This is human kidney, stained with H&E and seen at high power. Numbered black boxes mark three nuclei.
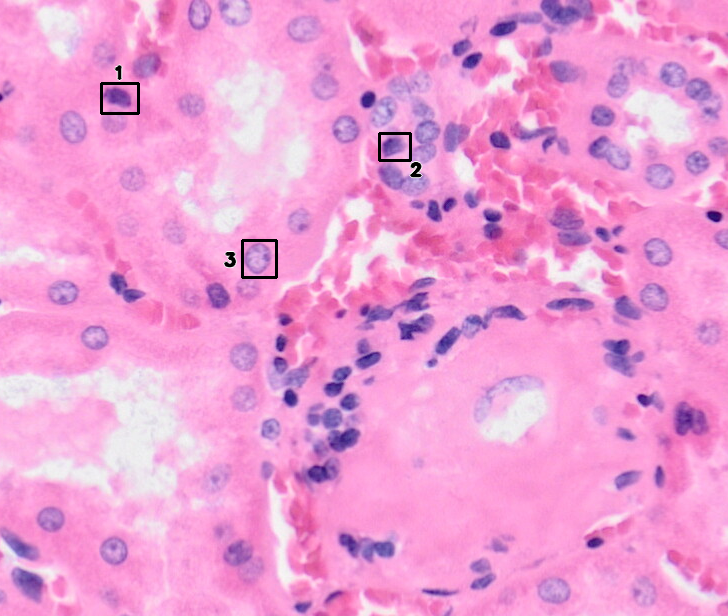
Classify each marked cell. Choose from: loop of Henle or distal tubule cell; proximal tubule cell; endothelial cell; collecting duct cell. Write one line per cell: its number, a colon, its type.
1: proximal tubule cell
2: collecting duct cell
3: proximal tubule cell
